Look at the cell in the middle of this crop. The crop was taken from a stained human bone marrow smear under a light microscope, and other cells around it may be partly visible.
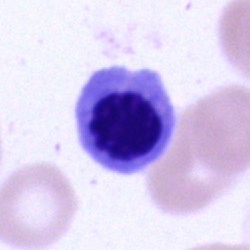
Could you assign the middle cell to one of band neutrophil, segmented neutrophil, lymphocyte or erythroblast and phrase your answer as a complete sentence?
The single cell at the center of the crop is an erythroblast.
